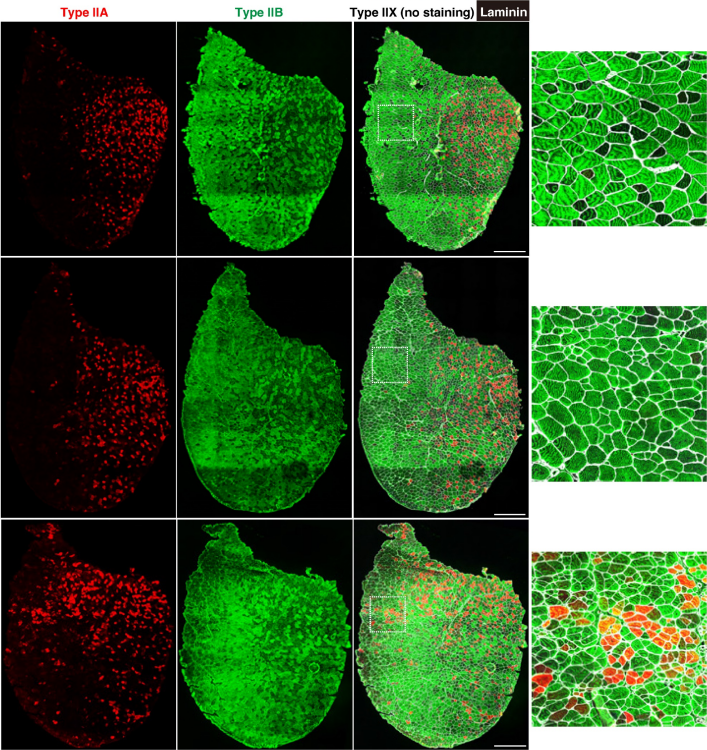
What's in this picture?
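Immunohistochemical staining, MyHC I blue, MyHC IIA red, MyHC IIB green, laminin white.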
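These are cross-sections of skeletal muscle, shown both as whole sections and as magnified views of small boxed areas. In the magnified views the muscle fibers appear as closely packed polygonal profiles, each surrounded by a thin white outline. Most fibers are filled with green, while a smaller number are red, and some show no colour and appear dark. In the whole-section images the red fibers are not spread evenly: in some sections they gather toward one side of the muscle, while in another they are scattered more widely across it. The green fibers fill most of every section.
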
